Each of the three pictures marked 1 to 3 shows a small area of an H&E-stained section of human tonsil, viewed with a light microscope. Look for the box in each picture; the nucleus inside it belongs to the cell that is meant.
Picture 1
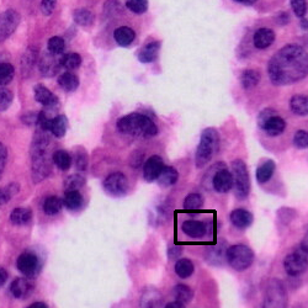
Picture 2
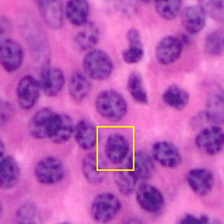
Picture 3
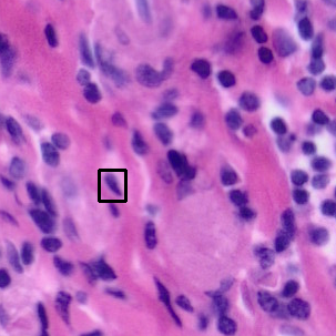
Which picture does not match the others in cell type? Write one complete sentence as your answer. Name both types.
The different one is picture 3; it shows a mast cell, whereas all the others show plasma cells.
